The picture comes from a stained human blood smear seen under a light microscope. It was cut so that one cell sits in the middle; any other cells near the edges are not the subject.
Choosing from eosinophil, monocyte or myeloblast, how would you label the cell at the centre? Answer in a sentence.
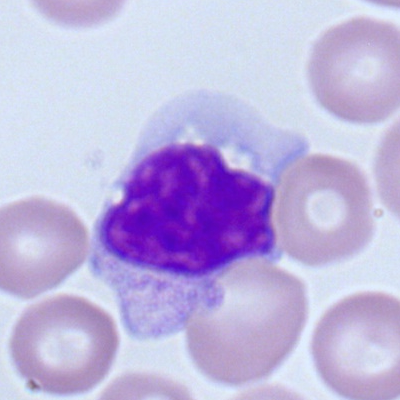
The cell sitting right in the middle is a monocyte.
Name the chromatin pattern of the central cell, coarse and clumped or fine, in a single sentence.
You can see that its chromatin is coarsely clumped.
